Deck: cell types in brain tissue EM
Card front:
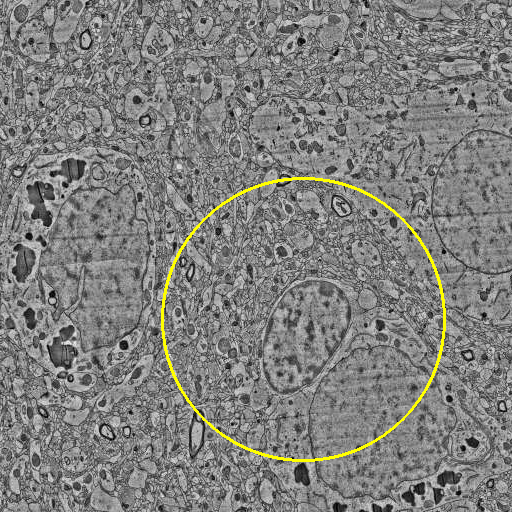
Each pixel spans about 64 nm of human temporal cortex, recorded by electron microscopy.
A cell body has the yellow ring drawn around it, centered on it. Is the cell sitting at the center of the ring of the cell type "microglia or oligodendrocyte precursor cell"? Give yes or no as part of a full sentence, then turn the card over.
Yes, on this card the yellow ring is centered on a cell of that type.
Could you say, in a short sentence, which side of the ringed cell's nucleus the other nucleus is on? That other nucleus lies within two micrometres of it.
That nucleus lies to the lower right of it.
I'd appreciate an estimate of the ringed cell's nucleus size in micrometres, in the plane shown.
In this plane, approximately 8 by 5 micrometers.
